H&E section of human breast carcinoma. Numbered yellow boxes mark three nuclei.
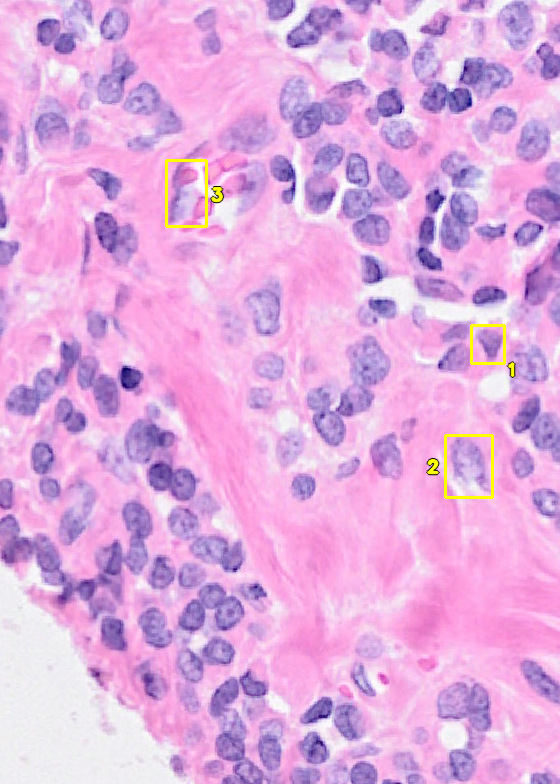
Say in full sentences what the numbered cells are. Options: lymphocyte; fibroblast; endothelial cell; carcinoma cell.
Cell 1 is a carcinoma cell, cell 2 is a fibroblast and cell 3 is an endothelial cell.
